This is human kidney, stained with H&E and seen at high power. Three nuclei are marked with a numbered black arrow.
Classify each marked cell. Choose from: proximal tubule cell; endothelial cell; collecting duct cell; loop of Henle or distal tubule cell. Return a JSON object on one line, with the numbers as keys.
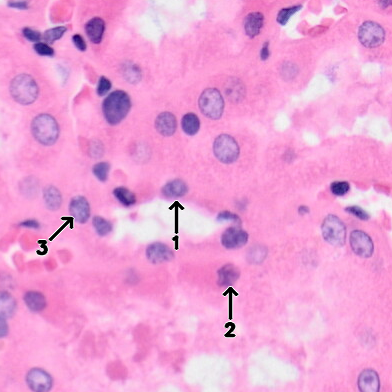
{"1": "loop of Henle or distal tubule cell", "2": "proximal tubule cell", "3": "loop of Henle or distal tubule cell"}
